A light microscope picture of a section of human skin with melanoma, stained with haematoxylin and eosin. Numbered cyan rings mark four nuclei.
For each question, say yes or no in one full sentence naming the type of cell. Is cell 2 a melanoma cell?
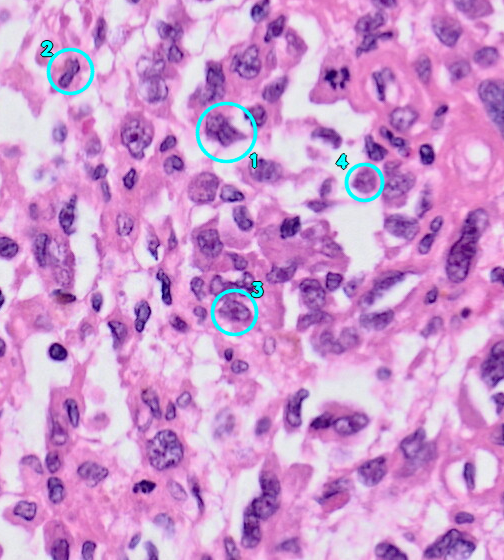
No, cell 2 does not represent a melanoma cell; it represents a macrophage or monocyte.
